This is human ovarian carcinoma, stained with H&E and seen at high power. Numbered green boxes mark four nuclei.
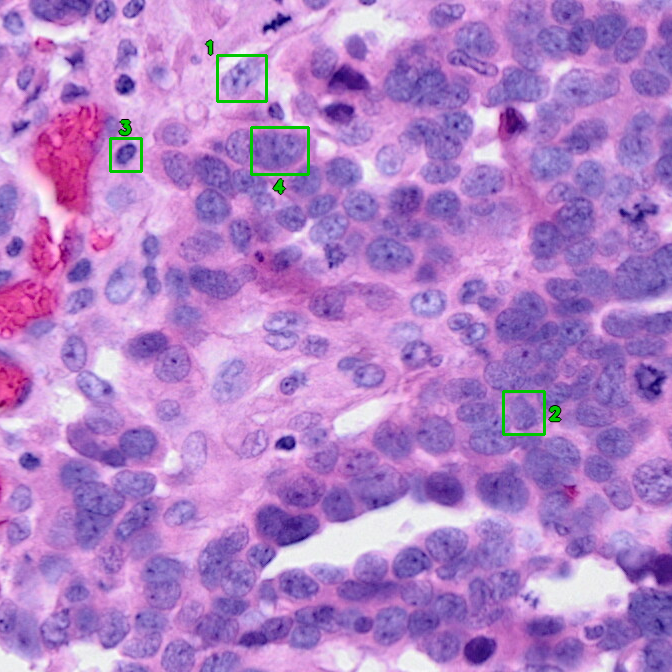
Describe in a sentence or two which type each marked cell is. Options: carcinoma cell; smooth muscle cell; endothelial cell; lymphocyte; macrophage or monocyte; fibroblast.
Cell 1 is a fibroblast, cell 2 is a carcinoma cell, cell 3 is a lymphocyte and cell 4 is a carcinoma cell.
